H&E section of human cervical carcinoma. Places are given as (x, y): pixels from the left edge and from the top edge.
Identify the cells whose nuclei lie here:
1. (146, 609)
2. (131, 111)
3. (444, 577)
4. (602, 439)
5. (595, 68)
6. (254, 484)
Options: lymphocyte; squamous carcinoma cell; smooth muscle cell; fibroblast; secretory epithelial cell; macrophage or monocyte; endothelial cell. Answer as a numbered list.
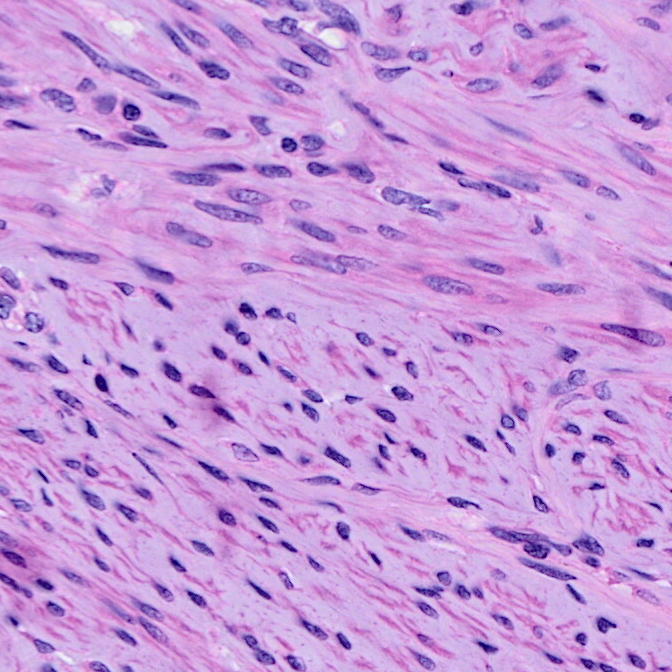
1. smooth muscle cell
2. lymphocyte
3. smooth muscle cell
4. smooth muscle cell
5. smooth muscle cell
6. fibroblast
